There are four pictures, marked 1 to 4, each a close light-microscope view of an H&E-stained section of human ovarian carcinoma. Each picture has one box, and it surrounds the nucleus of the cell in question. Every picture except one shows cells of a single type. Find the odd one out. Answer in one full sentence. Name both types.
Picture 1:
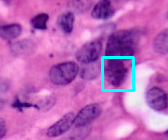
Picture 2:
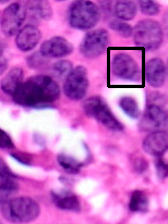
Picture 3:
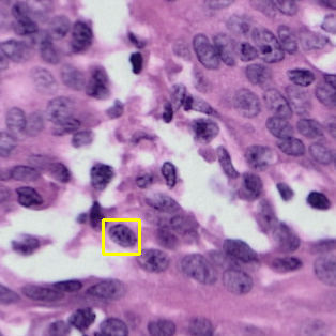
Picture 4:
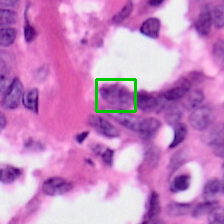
Unlike the rest, which show carcinoma cells, picture 3 shows a “macrophage or monocyte”.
